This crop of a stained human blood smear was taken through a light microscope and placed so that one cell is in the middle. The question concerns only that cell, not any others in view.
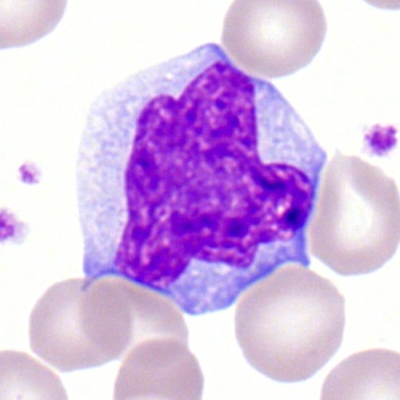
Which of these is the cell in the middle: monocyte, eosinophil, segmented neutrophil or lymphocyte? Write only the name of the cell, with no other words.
monocyte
